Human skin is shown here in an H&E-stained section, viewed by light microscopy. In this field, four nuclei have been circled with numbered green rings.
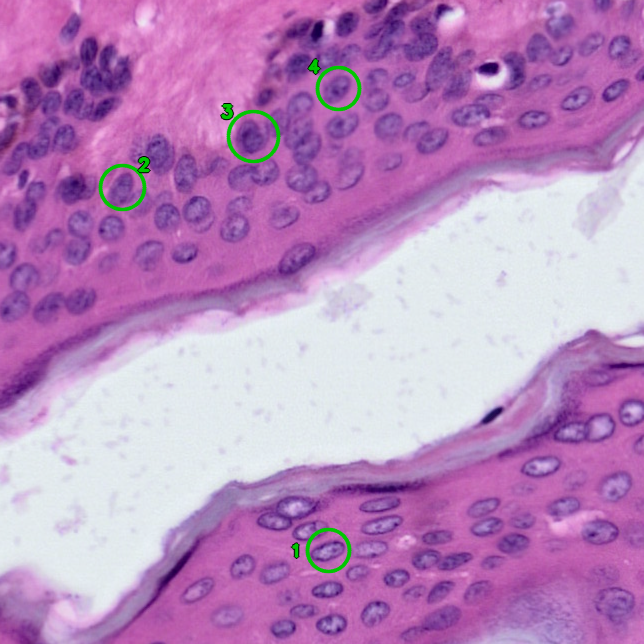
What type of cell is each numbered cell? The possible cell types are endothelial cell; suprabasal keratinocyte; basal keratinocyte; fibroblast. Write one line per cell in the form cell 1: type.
cell 1: suprabasal keratinocyte
cell 2: basal keratinocyte
cell 3: basal keratinocyte
cell 4: suprabasal keratinocyte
